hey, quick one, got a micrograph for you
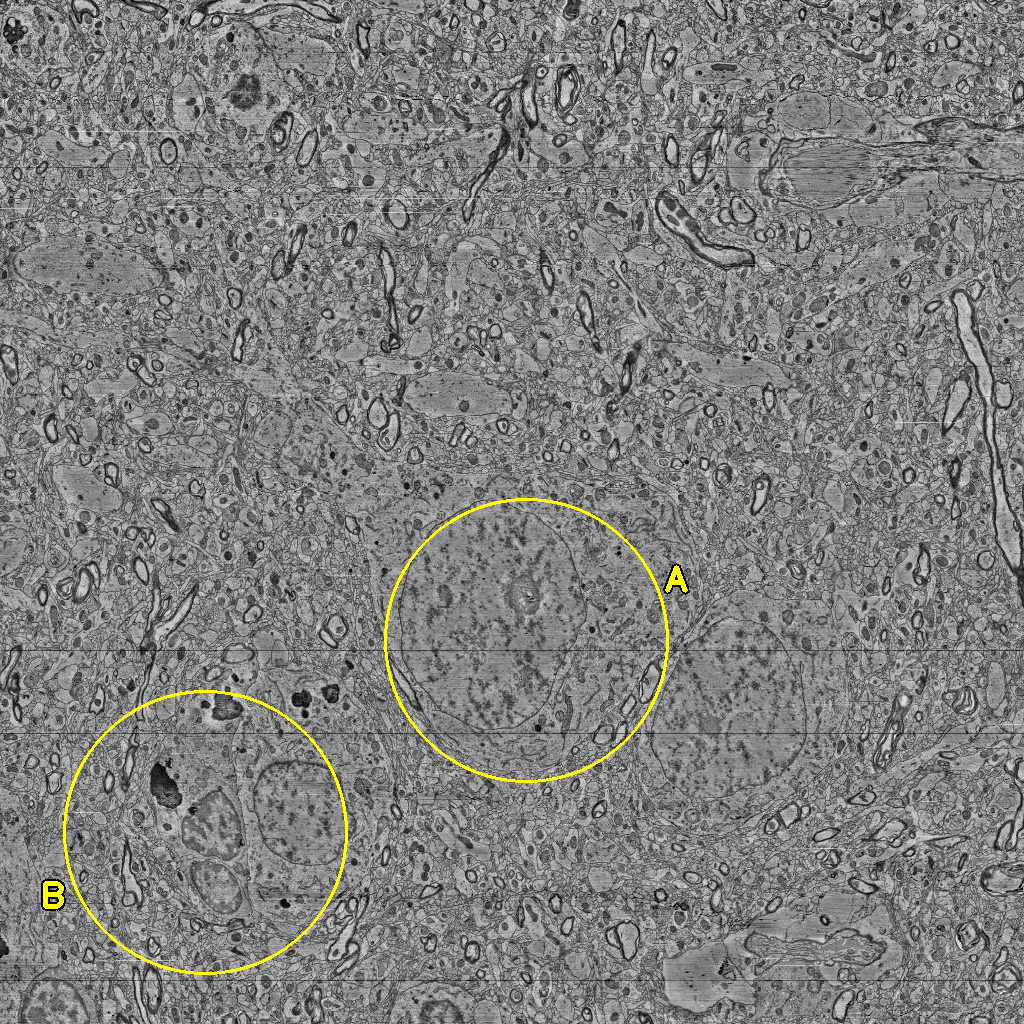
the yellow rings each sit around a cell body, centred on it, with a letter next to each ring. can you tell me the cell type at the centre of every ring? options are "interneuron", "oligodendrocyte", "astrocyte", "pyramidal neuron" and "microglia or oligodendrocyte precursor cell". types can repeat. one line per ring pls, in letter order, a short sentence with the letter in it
Ring A goes around a pyramidal neuron.
Ring B goes around an oligodendrocyte.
